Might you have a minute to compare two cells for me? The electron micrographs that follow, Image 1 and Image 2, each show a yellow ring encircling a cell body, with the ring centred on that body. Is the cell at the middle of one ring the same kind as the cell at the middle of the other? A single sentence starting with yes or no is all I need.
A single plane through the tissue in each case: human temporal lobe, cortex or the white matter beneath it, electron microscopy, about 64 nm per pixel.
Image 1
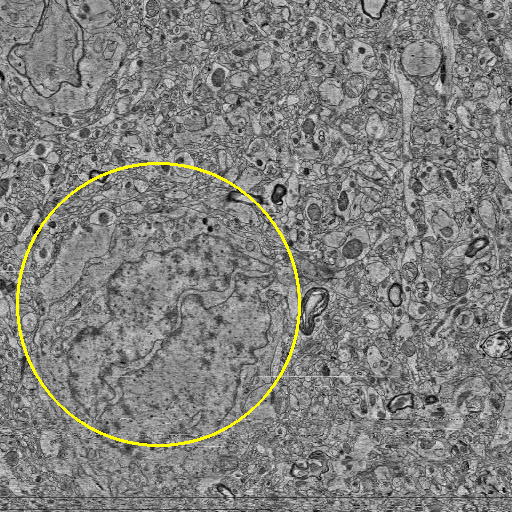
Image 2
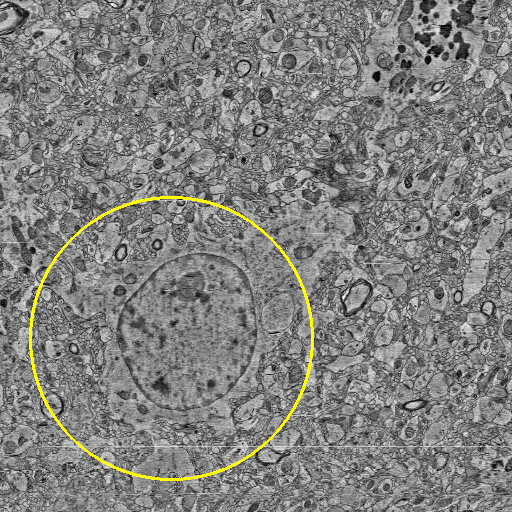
No, the cells in the middle of the two rings are of two separate kinds.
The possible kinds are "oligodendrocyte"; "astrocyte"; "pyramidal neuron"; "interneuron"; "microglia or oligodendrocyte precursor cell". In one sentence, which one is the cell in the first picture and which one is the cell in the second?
The cell ringed in the second picture is an astrocyte, whereas the one ringed in the first is an interneuron.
